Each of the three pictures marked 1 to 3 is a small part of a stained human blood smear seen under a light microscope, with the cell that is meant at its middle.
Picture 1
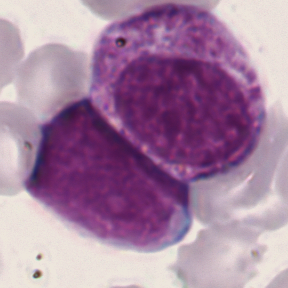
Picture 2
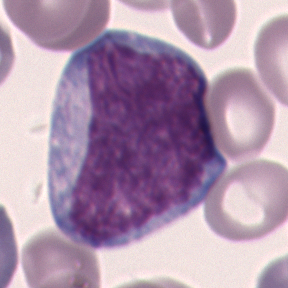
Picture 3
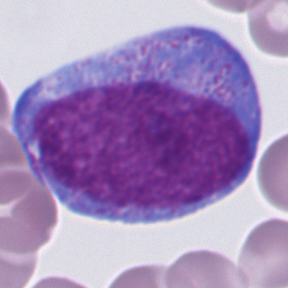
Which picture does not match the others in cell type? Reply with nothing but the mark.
1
